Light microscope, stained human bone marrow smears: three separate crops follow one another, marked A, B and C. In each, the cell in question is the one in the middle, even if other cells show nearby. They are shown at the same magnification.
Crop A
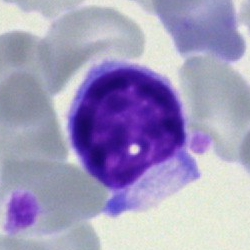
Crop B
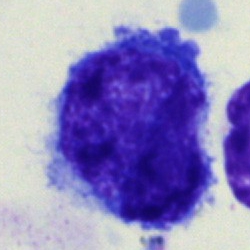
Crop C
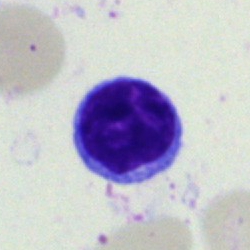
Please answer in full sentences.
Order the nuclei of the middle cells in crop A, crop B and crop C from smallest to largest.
From the smallest up, the order is C, A, B.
